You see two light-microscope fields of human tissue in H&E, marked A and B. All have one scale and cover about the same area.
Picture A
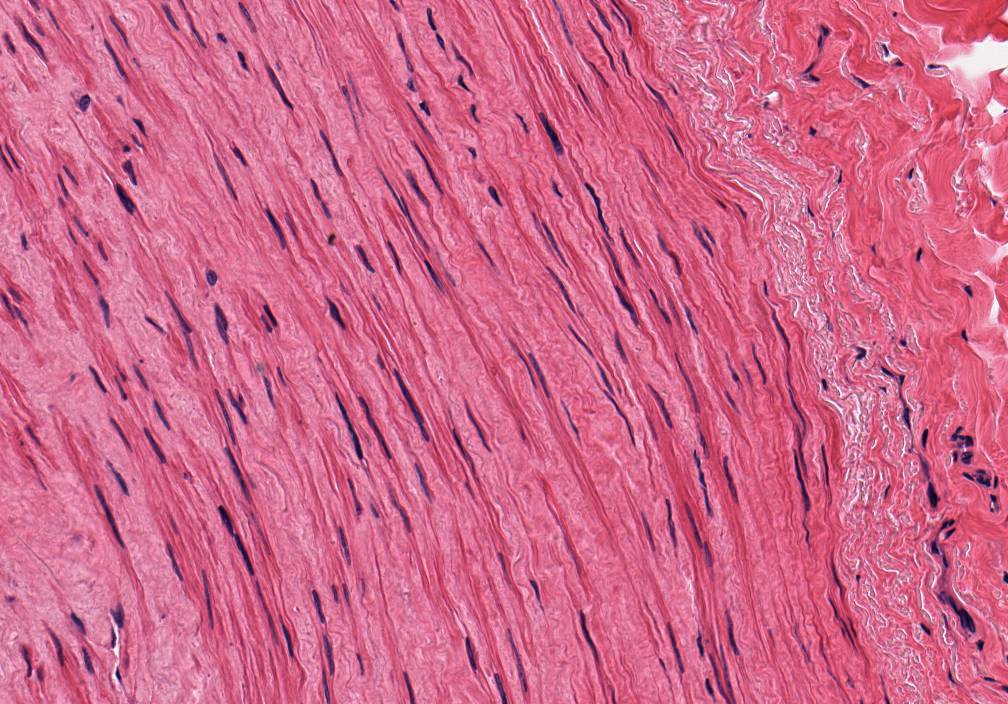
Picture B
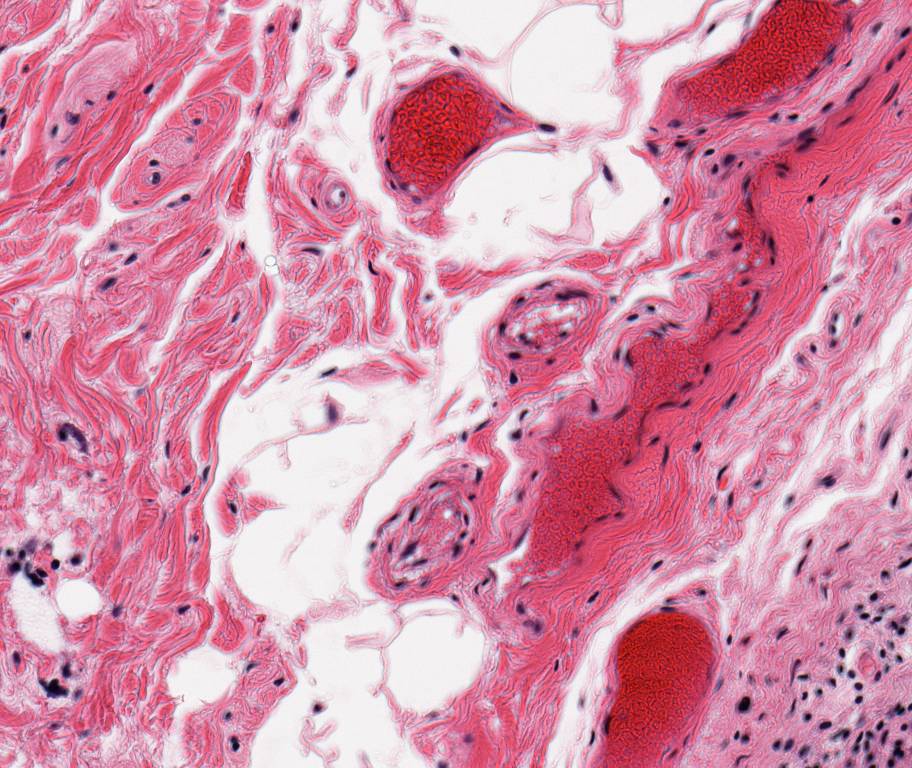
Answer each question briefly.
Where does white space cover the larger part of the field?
B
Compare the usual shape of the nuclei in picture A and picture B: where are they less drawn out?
B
